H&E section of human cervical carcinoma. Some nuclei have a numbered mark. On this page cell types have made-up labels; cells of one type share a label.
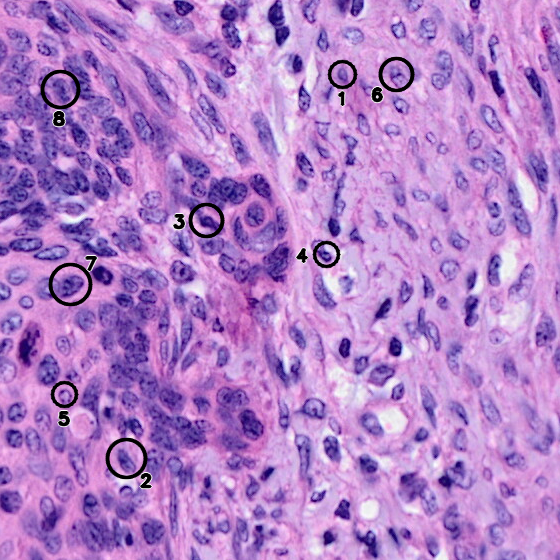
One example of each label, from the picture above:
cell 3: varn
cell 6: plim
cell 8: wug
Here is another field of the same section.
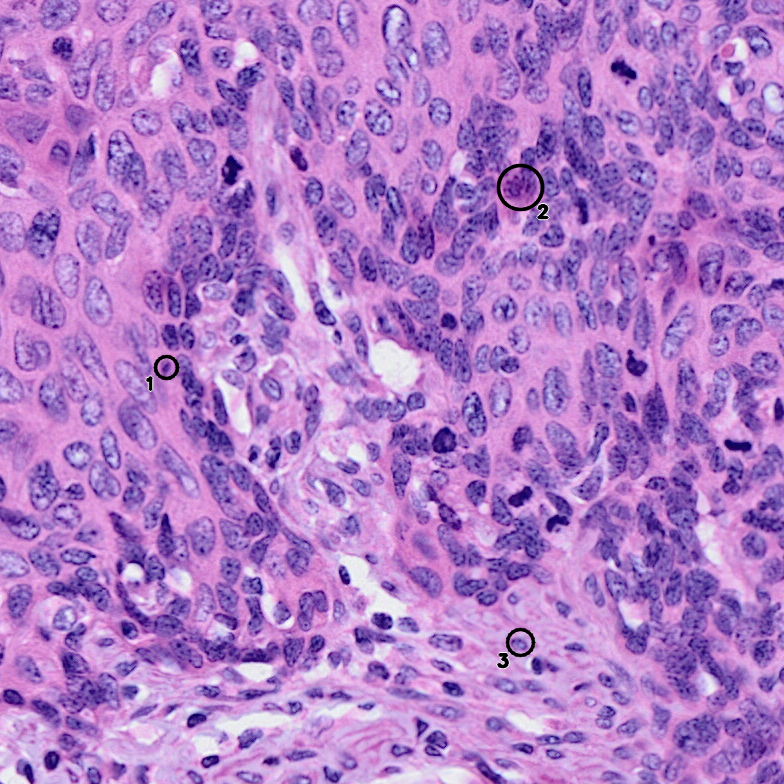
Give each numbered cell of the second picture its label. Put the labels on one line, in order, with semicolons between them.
wug; wug; plim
